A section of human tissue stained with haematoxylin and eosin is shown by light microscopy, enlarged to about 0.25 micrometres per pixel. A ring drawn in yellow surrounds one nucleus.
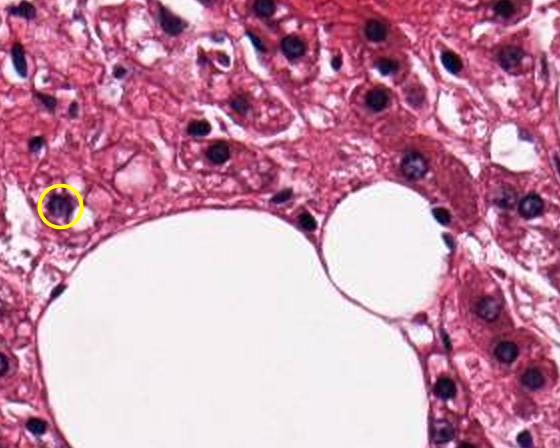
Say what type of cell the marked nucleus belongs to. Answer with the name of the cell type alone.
adrenal cortical cell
